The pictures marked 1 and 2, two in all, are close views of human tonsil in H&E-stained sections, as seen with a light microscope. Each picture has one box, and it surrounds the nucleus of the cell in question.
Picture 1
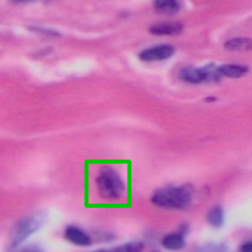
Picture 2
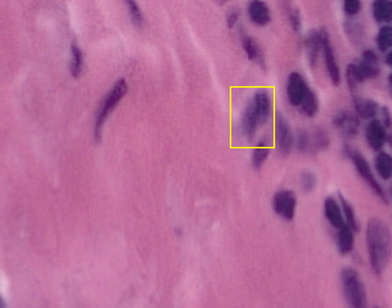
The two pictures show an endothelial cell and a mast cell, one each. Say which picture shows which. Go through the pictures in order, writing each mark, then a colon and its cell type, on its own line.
1: mast cell
2: endothelial cell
